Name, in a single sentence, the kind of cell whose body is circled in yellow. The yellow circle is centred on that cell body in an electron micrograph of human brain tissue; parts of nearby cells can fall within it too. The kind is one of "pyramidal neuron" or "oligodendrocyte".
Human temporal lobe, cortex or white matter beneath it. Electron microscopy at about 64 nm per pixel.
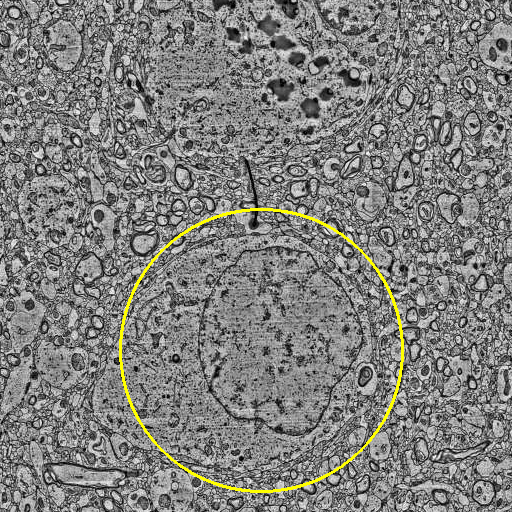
The circled cell body belongs to a pyramidal neuron.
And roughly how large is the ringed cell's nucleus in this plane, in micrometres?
The nucleus is approximately 11 micrometers across in this plane.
